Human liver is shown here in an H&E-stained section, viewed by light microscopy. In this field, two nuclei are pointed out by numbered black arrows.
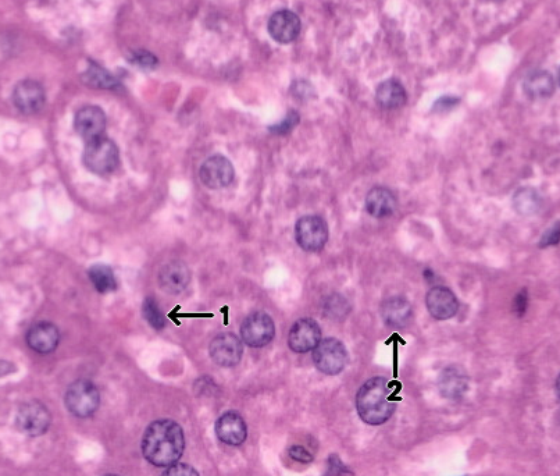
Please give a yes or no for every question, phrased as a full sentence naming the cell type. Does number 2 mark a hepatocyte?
Yes, the cell that bears the number 2 is a hepatocyte.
